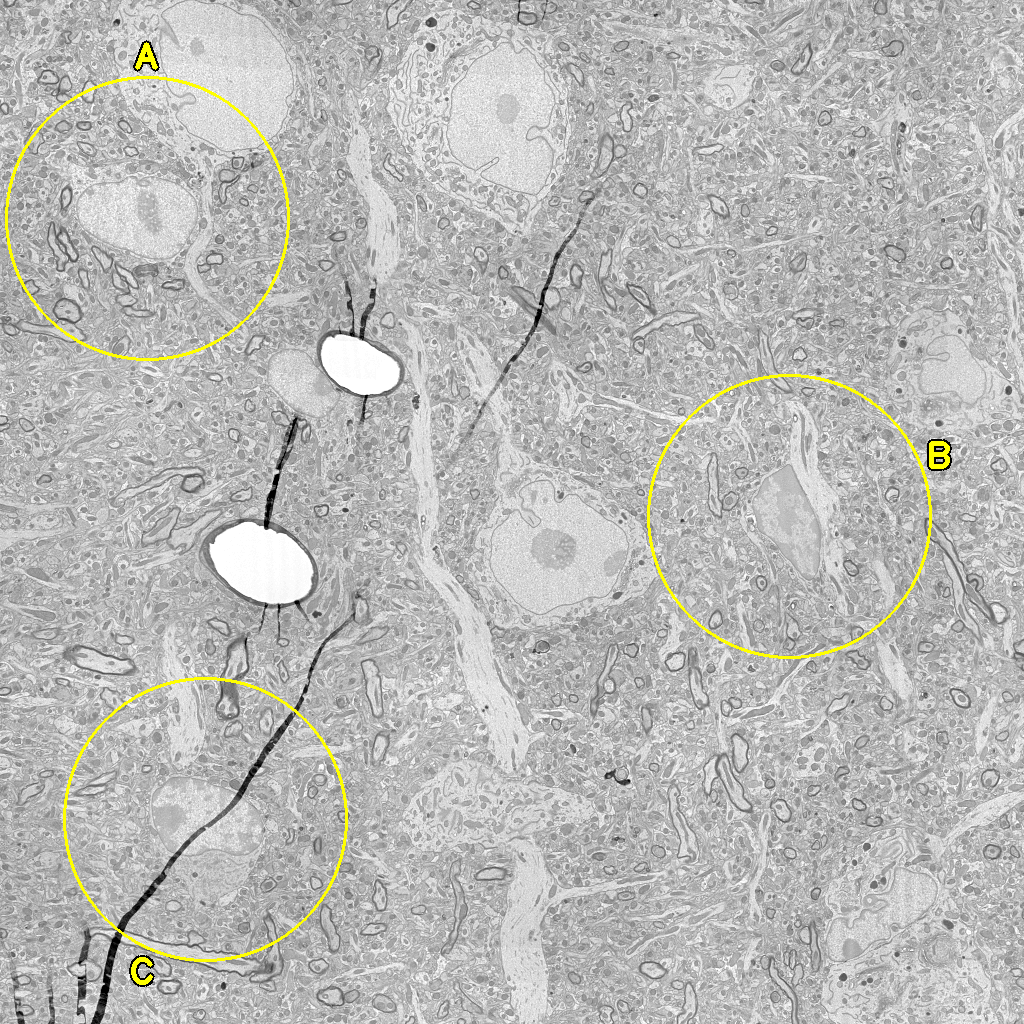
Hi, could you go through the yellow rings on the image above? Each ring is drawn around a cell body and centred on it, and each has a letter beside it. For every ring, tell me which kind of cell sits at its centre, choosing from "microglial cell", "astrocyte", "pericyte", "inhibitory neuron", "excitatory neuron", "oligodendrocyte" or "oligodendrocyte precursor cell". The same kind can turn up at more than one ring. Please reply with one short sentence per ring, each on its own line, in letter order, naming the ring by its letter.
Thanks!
Ring A is centred on an astrocyte.
Ring B is centred on a microglial cell.
Ring C is centred on an oligodendrocyte.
